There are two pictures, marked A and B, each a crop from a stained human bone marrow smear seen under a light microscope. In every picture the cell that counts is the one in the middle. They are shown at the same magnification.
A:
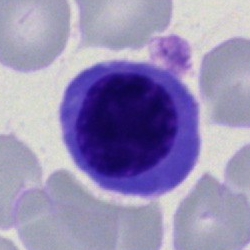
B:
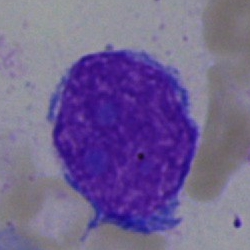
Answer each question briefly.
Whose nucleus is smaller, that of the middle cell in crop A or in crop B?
A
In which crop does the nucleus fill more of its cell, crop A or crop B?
B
